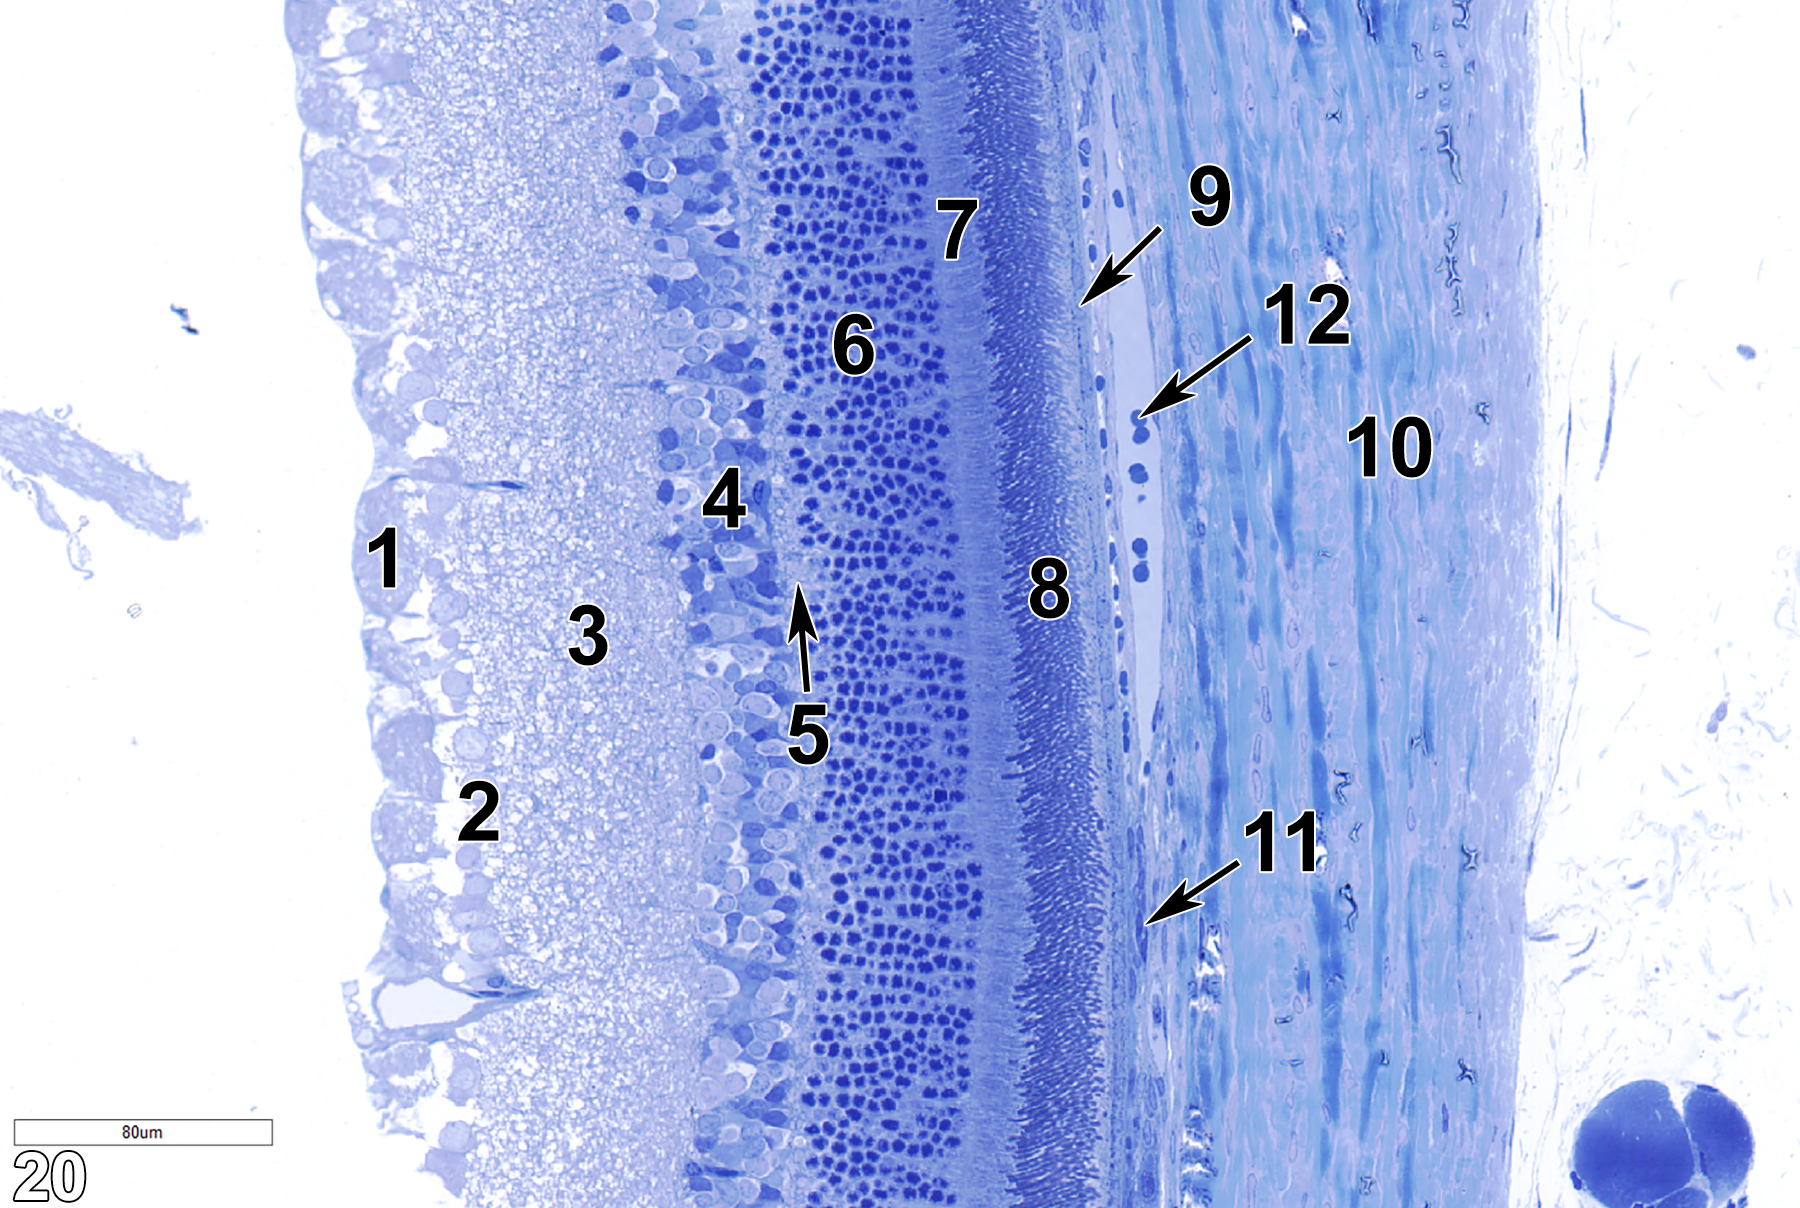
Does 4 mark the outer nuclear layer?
No. The inner nuclear layer.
